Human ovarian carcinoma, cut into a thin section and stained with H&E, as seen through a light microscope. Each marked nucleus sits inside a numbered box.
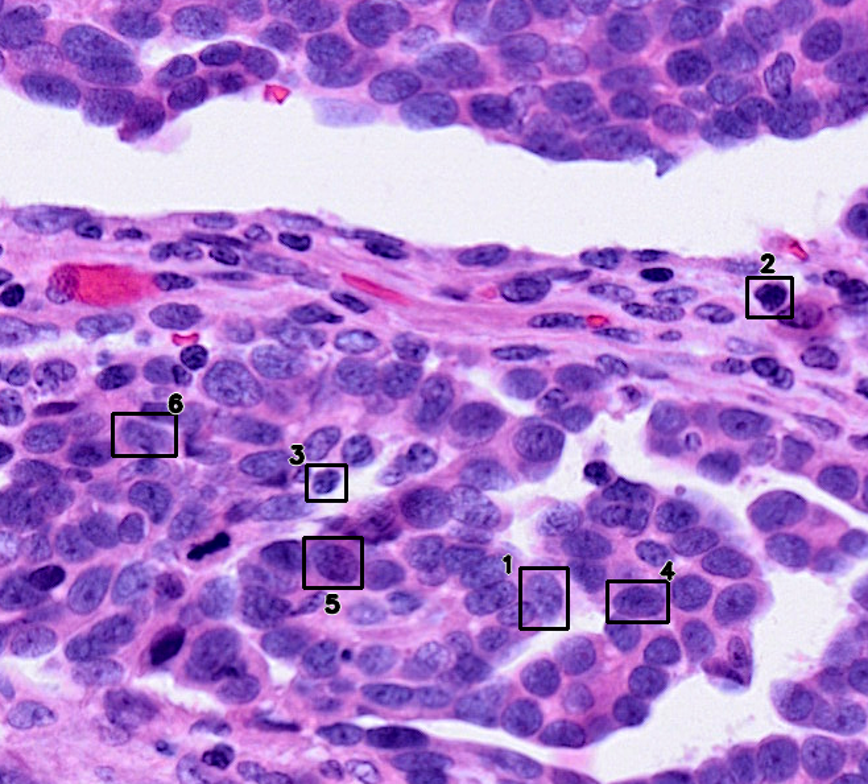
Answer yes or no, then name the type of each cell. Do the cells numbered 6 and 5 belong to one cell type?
Yes, cells 6 and 5 are both counted as carcinoma cells.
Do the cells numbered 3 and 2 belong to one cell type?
Yes, by cell type, cells 3 and 2 are both lymphocytes.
